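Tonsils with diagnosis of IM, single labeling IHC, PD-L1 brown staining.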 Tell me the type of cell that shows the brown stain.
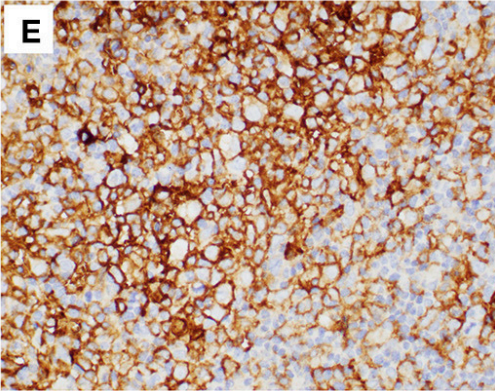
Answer: Immune cells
